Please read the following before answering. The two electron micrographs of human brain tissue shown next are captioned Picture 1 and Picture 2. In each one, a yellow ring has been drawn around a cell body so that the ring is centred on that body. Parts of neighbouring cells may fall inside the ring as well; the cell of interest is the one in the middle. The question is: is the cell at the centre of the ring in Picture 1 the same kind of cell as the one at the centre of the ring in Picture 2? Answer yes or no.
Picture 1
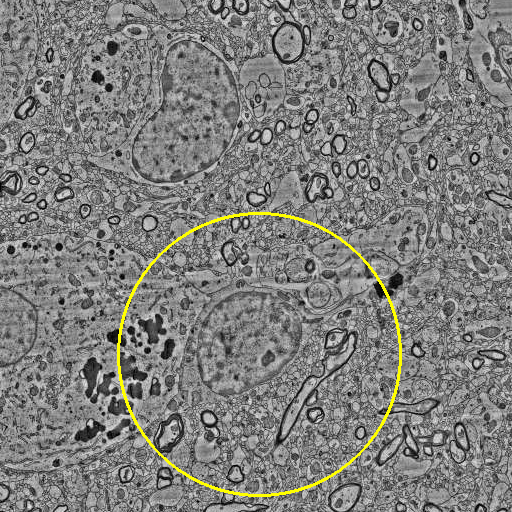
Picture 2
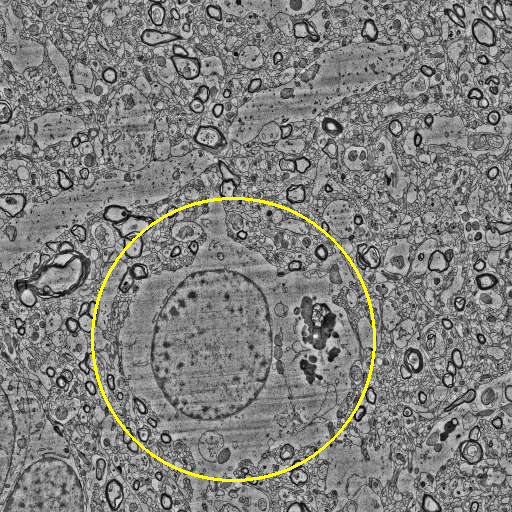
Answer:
no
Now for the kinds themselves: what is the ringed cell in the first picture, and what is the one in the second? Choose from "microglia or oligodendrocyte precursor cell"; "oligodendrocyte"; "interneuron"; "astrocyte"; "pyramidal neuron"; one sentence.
Here the first cell is an oligodendrocyte and the second cell is an astrocyte.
